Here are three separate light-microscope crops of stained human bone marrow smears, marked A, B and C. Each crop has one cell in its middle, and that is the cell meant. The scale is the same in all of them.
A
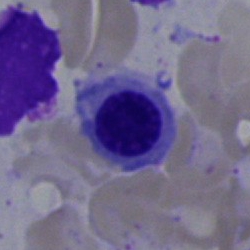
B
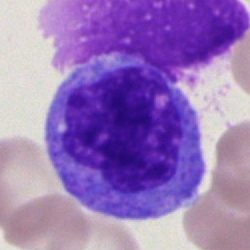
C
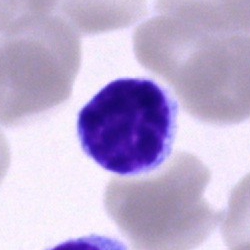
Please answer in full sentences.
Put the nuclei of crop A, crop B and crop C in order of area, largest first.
The order is B, C, A, beginning with the largest.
